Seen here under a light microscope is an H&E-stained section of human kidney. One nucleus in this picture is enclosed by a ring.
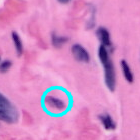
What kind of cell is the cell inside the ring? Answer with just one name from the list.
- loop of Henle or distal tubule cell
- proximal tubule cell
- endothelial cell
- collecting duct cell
endothelial cell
